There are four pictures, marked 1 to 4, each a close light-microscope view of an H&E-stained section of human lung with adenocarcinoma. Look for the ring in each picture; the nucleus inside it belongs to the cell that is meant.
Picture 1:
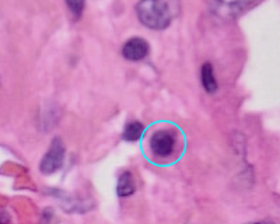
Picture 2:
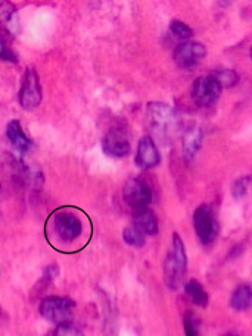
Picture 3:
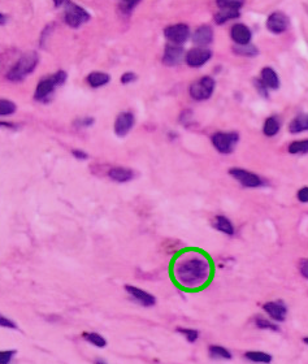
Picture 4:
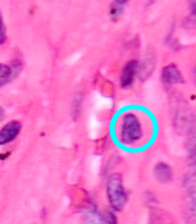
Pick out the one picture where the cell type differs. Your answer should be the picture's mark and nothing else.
4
